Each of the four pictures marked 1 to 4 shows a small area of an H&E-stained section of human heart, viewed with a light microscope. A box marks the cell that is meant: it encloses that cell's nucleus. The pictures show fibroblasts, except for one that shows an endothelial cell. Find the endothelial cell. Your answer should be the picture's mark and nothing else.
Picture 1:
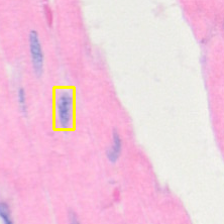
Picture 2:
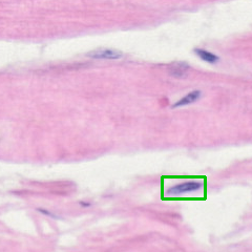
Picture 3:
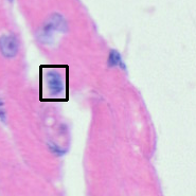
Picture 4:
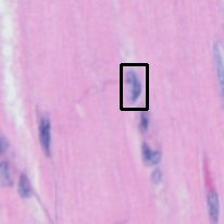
1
